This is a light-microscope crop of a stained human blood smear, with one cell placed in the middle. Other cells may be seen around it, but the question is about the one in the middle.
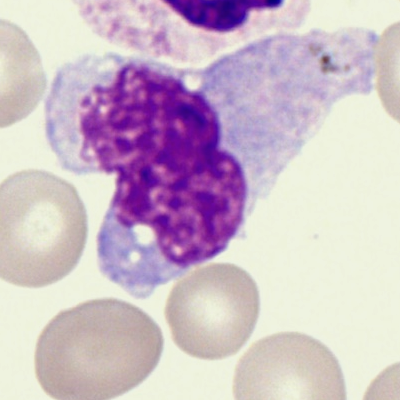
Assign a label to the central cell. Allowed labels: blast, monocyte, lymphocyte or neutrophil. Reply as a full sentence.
Positioned in the middle of the crop is a monocyte.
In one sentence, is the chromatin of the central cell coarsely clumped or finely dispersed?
The chromatin here is fine and lacks any coarse clumps.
